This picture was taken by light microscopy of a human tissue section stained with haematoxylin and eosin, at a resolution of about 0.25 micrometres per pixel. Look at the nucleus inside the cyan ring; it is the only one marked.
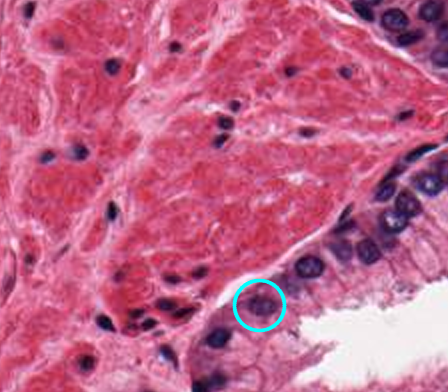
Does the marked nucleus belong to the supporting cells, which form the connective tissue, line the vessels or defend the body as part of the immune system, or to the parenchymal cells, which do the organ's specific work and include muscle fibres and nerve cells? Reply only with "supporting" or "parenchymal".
parenchymal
